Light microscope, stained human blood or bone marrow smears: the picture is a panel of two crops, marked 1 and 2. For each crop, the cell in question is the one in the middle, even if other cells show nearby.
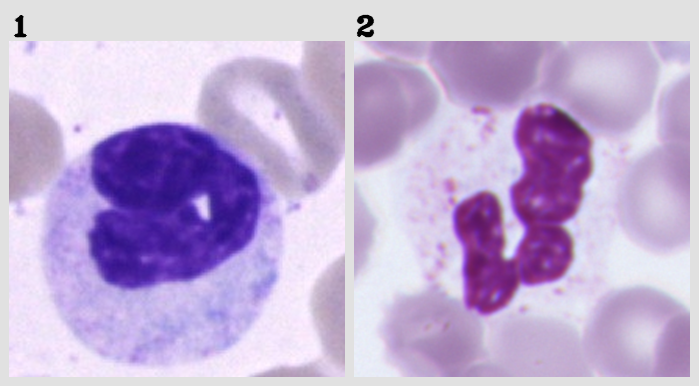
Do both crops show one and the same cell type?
yes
